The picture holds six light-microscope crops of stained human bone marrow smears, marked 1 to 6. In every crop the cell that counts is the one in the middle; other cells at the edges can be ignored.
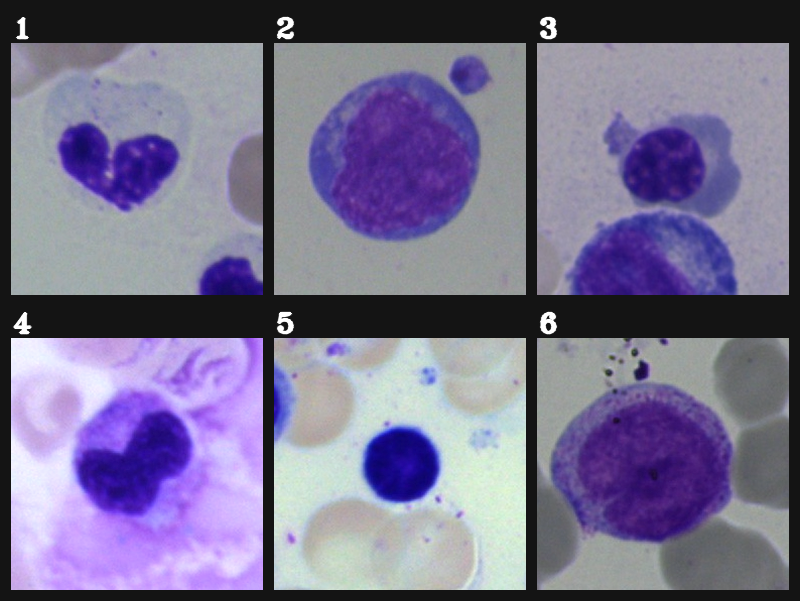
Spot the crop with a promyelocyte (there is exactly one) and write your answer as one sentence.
So the crop with a promyelocyte at its center is crop 6.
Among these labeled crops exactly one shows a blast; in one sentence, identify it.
Crop 2 is the single crop that shows a blast.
